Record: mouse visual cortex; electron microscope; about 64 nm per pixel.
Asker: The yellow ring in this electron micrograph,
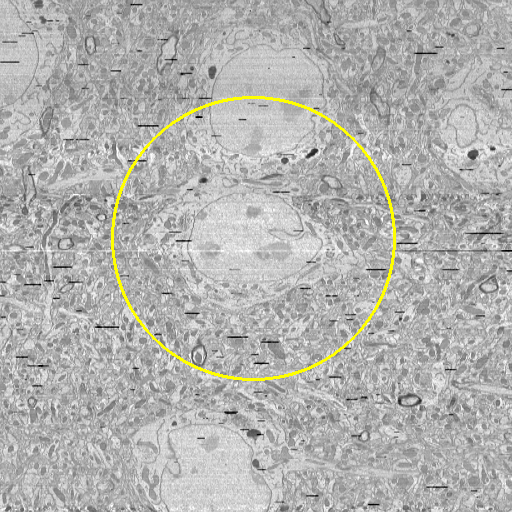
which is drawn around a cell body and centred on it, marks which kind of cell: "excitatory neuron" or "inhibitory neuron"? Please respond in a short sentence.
The marked cell is an excitatory neuron.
